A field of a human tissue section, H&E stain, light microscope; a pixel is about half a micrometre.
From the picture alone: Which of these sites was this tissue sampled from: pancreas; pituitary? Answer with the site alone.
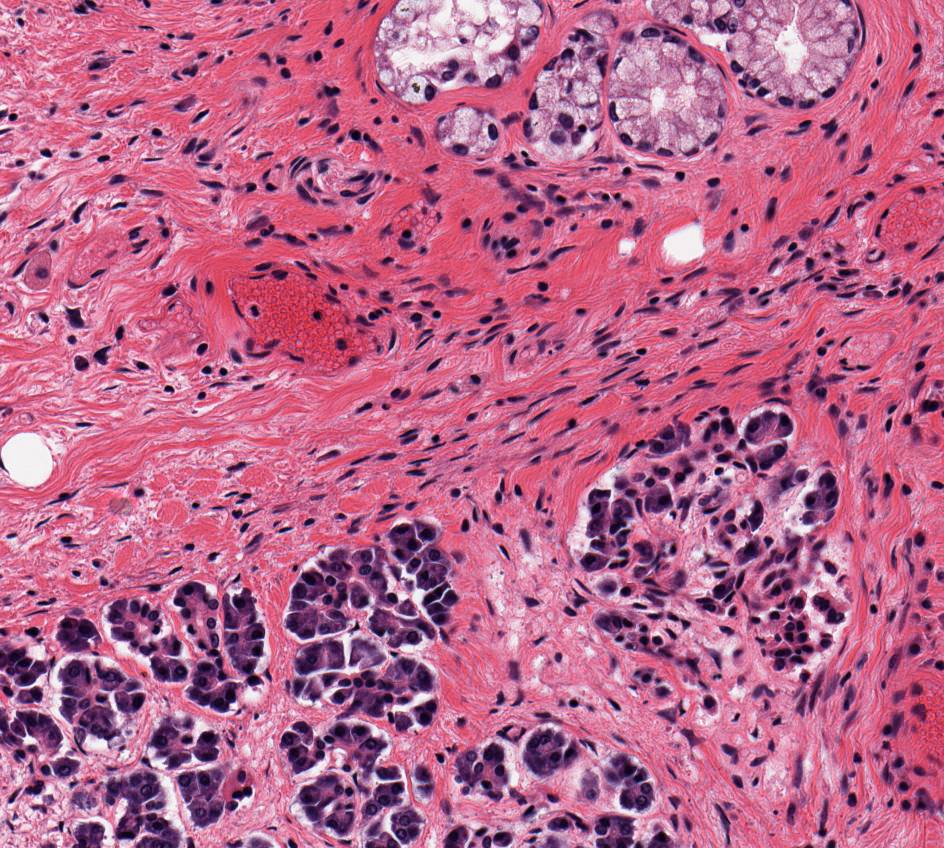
pancreas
